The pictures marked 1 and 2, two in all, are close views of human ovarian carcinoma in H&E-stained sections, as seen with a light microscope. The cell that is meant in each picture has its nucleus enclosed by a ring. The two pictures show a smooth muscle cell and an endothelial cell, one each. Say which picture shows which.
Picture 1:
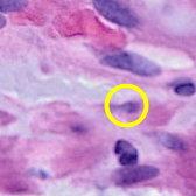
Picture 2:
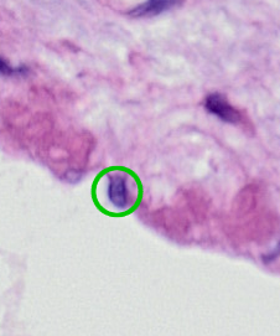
1: smooth muscle cell
2: endothelial cell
